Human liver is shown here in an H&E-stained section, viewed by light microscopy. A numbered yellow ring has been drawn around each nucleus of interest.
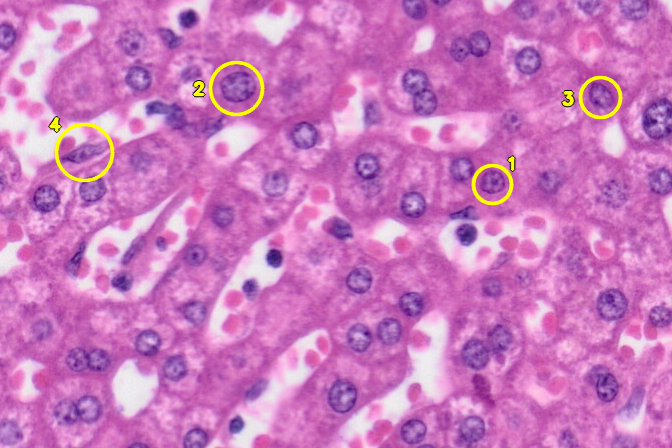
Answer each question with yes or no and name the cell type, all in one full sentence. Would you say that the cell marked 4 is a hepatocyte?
No, the cell referred to as 4 is a Kupffer cell, not a hepatocyte.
